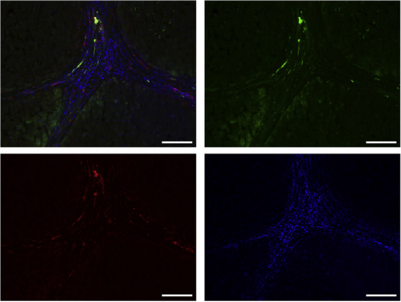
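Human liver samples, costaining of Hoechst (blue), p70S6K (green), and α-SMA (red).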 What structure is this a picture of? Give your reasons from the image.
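A branching band of densely packed blue nuclei crosses the field. The tissue on either side of the band has far fewer nuclei. Green and red signal lie mostly along the band. On this evidence: septa.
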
